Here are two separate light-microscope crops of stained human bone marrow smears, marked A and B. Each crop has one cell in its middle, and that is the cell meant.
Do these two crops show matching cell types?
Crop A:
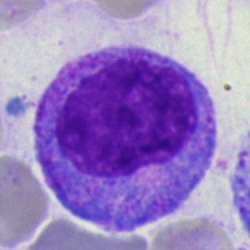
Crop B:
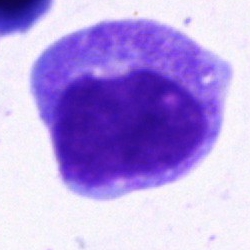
yes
